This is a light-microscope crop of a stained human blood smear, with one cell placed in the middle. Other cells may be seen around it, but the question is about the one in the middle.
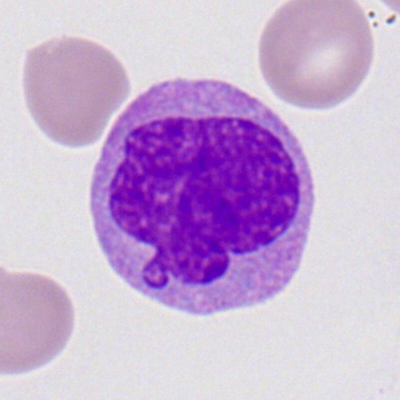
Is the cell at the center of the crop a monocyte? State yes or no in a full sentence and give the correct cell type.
Yes, the cell placed centrally within the crop is a monocyte.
